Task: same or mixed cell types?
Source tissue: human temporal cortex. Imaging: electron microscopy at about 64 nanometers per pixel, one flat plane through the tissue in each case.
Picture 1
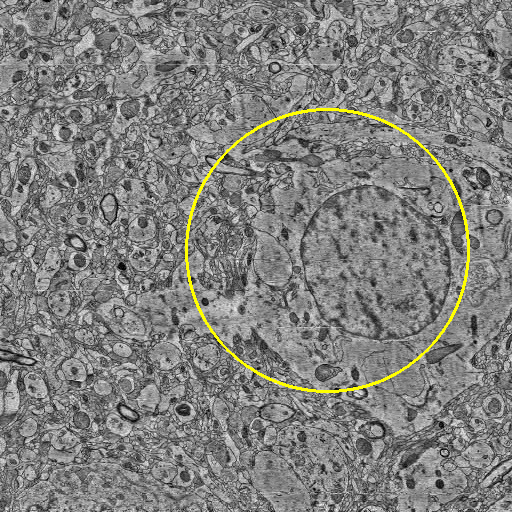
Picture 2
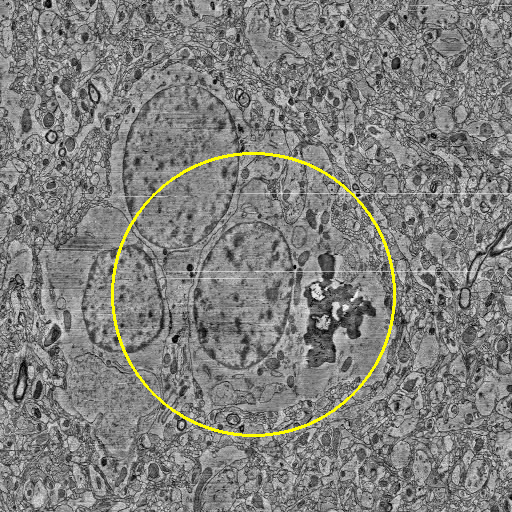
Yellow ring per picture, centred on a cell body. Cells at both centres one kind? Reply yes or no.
yes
